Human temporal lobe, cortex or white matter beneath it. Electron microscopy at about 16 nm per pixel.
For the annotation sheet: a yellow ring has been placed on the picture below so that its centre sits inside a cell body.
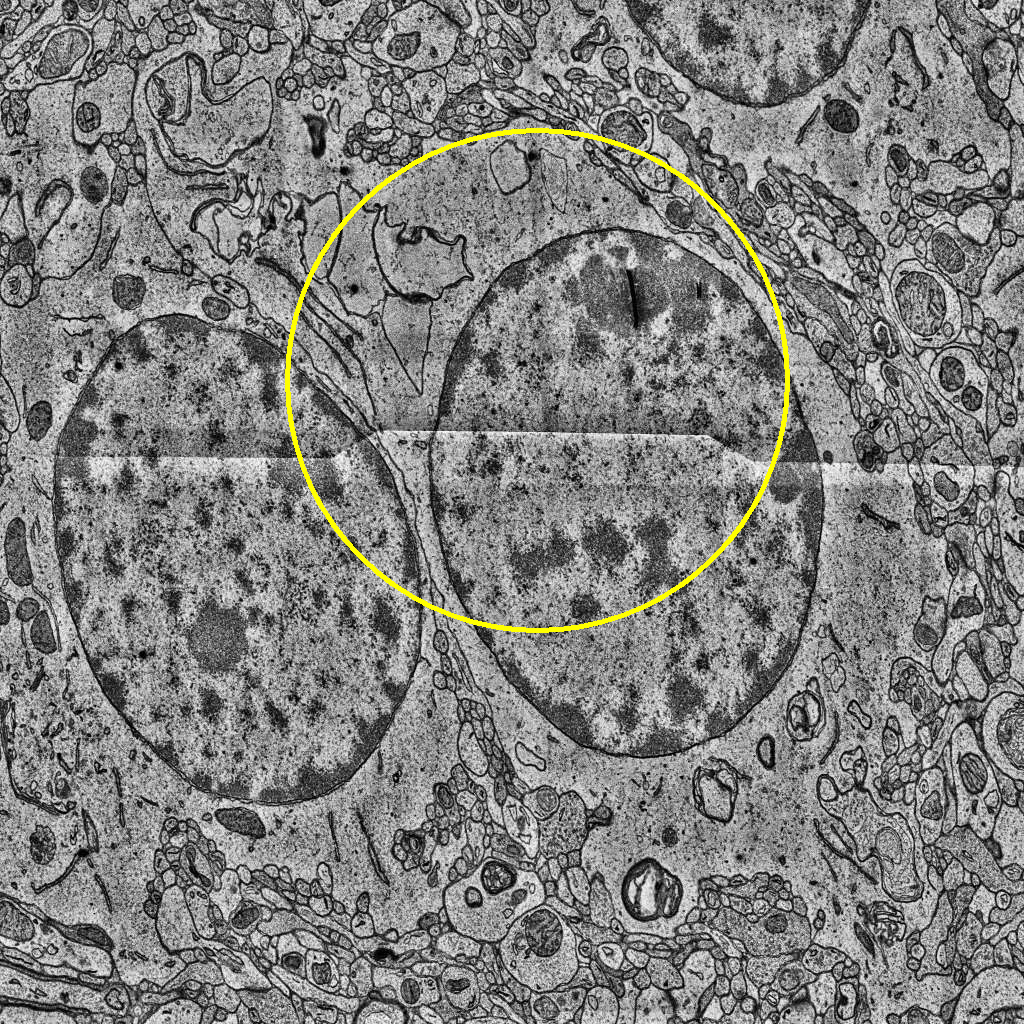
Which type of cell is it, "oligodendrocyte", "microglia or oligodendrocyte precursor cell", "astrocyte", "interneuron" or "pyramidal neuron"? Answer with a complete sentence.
The cell at the ring's centre is an astrocyte.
